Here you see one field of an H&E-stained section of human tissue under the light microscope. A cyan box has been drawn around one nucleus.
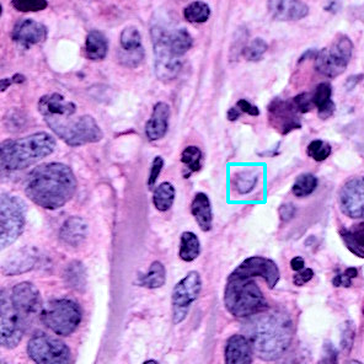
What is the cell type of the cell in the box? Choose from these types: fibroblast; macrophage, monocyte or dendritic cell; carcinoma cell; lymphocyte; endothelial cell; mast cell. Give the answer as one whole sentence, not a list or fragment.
It is a macrophage, monocyte or dendritic cell that the cell in the box represents.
